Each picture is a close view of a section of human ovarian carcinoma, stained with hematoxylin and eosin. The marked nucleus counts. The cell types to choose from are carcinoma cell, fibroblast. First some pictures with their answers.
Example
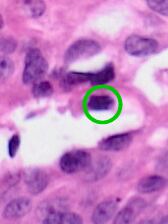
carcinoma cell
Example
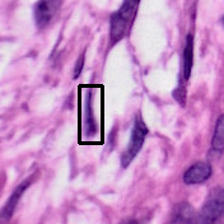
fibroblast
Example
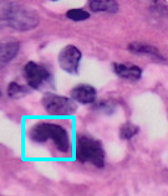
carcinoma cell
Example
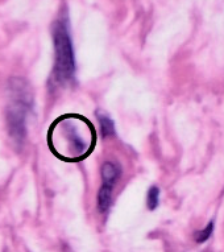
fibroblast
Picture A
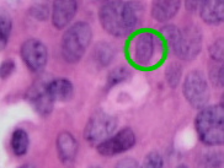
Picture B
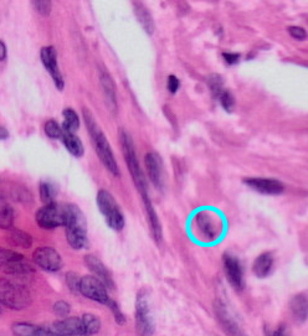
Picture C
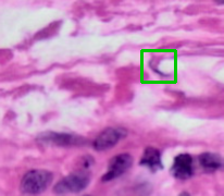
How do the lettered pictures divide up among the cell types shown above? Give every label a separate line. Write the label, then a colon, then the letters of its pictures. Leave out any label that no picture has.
carcinoma cell: A
fibroblast: B, C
